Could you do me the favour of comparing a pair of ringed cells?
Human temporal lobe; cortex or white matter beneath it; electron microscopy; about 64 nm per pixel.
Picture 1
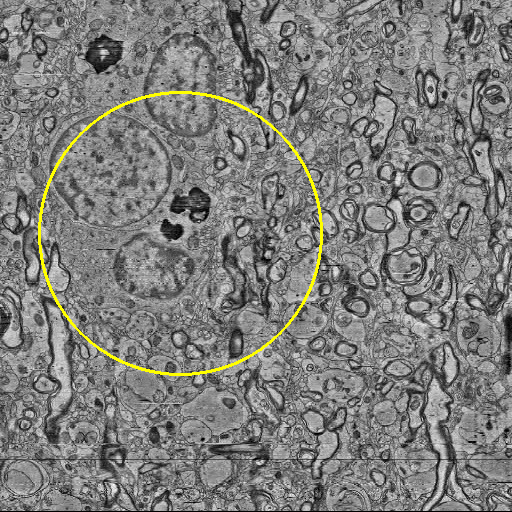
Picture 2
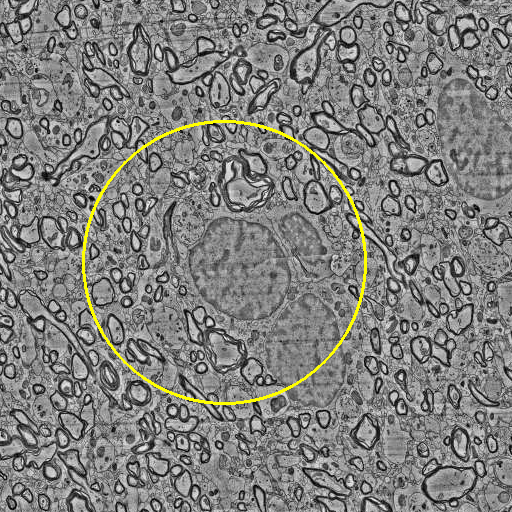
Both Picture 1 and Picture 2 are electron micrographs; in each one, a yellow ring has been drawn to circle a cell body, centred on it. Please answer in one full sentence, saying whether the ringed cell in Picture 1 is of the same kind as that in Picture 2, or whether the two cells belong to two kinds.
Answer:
The ringed cell in Picture 1 is of the same kind as that in Picture 2.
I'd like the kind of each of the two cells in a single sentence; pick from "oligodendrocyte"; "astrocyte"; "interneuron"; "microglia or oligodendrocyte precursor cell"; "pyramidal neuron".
Each of the two rings is centred on an oligodendrocyte.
